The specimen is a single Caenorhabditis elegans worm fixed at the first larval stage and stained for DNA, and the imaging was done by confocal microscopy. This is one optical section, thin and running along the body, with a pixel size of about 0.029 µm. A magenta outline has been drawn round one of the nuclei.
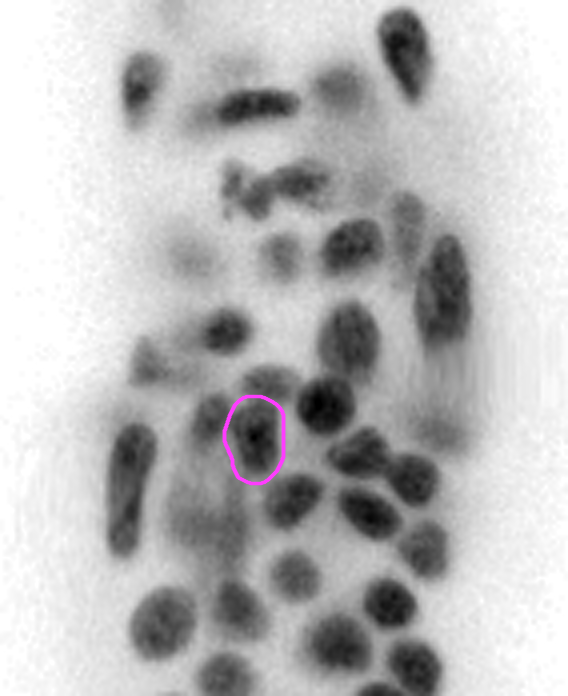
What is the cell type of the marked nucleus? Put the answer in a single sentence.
This nucleus is from a pharyngeal marginal cell.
